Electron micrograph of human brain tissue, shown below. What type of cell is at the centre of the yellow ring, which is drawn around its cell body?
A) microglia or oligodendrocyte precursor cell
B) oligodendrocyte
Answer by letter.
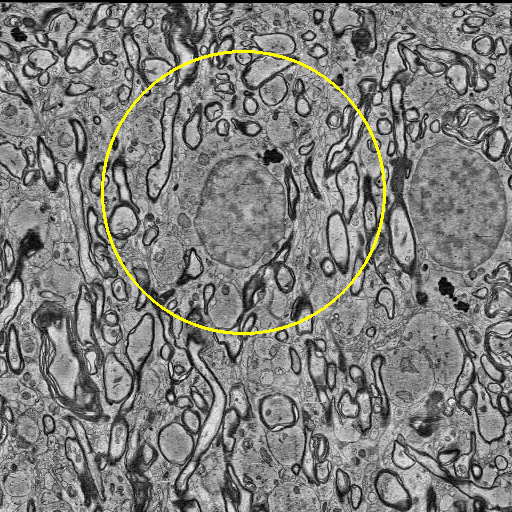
B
